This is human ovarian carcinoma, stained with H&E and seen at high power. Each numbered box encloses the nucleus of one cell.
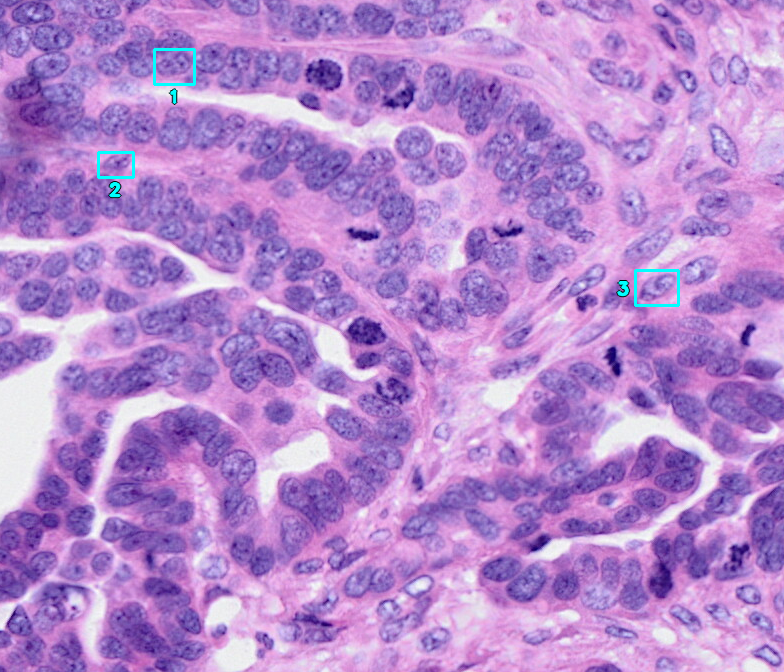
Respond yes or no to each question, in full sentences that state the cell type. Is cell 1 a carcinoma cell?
Yes, the cell with the number 1 is a carcinoma cell.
